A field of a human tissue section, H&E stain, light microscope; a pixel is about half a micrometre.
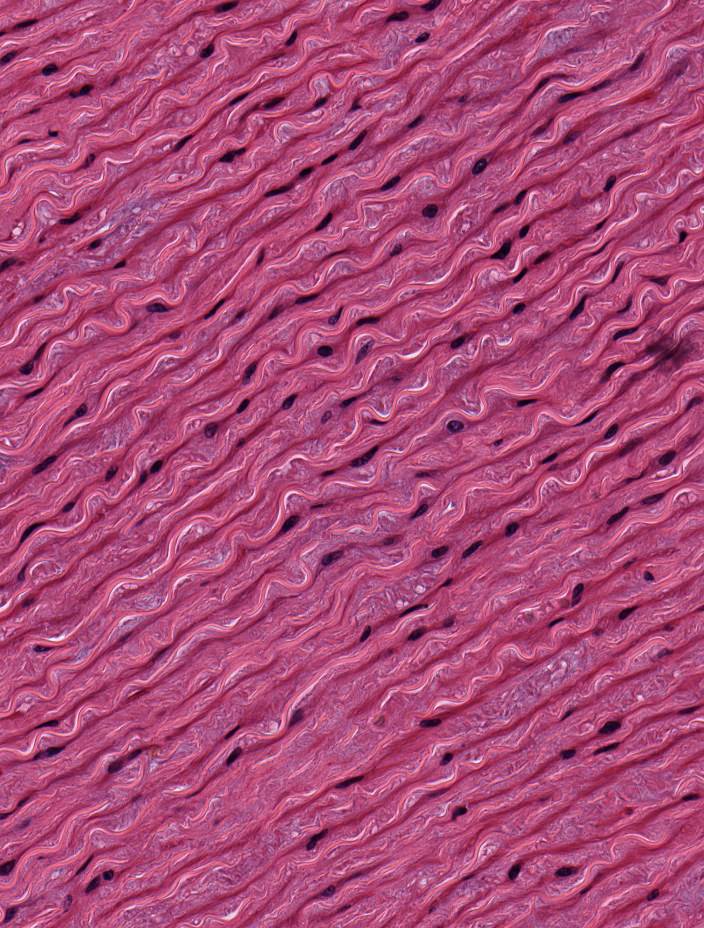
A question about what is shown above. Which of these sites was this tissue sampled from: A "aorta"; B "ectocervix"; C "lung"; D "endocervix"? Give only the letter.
A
